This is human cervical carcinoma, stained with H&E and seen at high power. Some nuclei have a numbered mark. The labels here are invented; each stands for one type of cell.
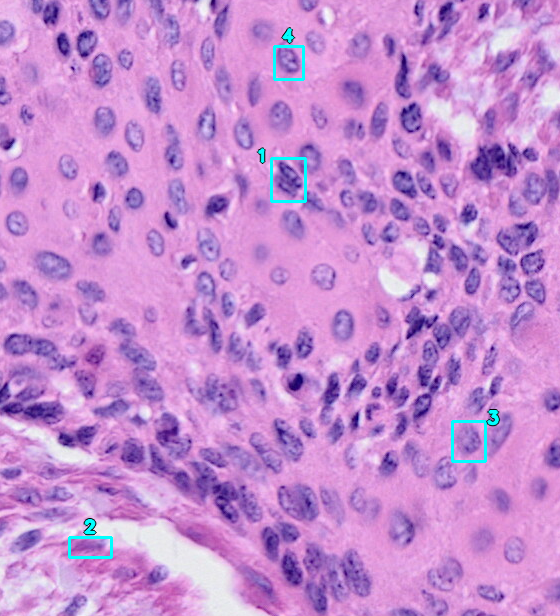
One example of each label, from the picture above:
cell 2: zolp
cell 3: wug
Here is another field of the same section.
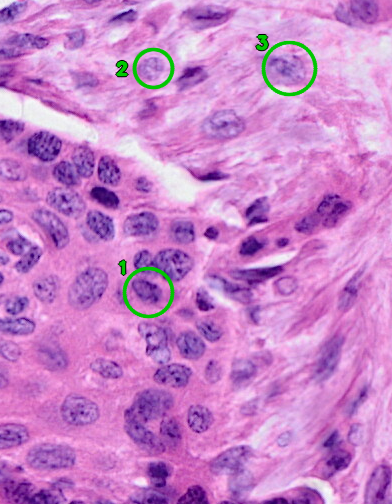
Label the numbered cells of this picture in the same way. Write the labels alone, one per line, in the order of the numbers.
wug
zolp
zolp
